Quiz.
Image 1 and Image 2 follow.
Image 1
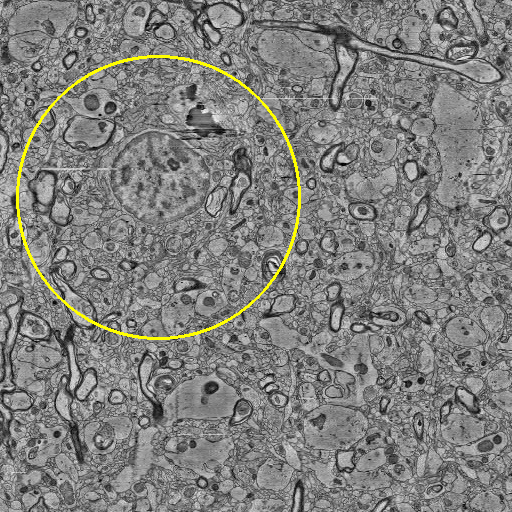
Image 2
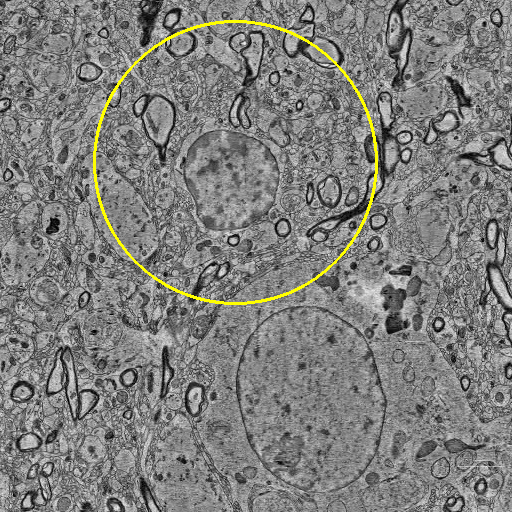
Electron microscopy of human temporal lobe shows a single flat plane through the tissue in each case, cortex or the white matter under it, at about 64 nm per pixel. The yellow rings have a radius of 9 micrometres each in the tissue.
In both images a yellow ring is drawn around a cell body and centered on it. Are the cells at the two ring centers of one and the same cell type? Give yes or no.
no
